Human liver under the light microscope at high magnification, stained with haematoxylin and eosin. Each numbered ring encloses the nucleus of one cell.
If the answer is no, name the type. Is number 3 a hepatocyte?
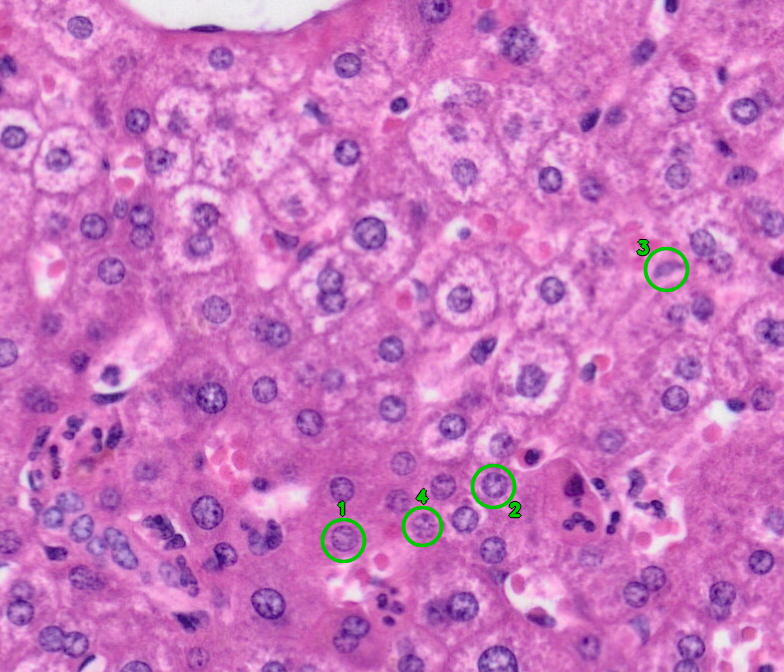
No, it is a Kupffer cell.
